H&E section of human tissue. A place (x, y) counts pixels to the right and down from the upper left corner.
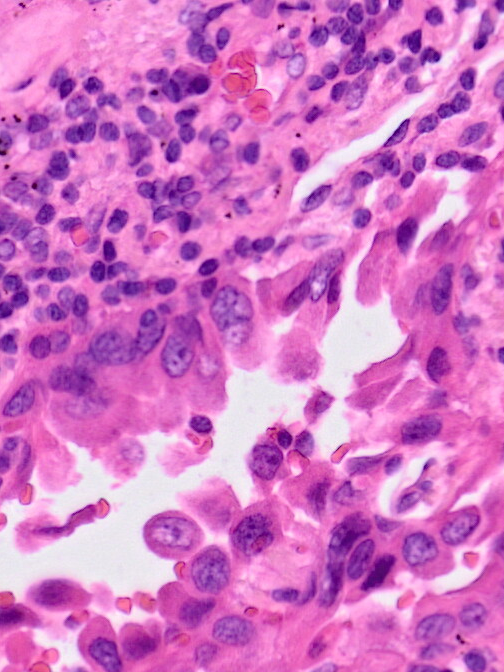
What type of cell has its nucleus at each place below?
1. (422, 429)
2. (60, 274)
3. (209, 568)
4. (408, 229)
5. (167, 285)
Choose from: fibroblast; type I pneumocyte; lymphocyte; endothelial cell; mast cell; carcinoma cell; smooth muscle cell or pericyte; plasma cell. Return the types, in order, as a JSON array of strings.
["carcinoma cell", "lymphocyte", "carcinoma cell", "carcinoma cell", "lymphocyte"]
